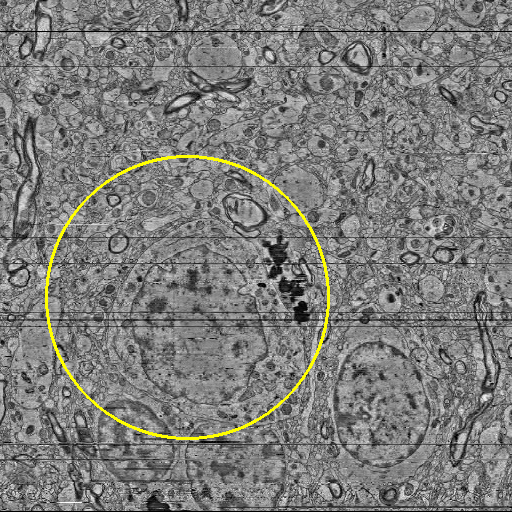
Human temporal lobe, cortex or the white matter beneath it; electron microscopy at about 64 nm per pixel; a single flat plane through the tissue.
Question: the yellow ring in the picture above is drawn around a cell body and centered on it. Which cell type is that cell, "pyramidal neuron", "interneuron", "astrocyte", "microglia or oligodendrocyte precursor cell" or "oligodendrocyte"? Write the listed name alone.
interneuron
